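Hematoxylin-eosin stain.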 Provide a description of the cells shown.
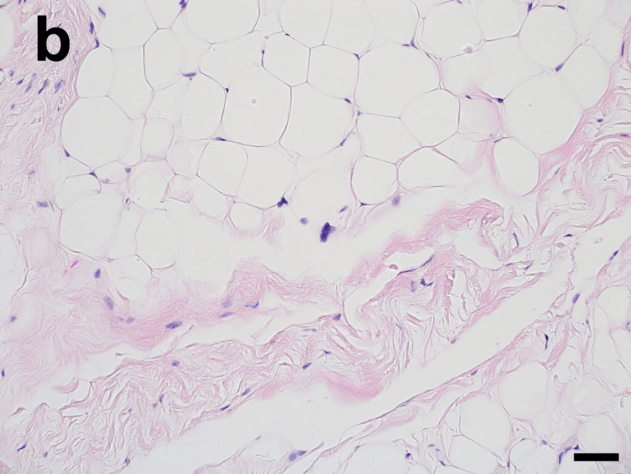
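Mature fat cells with large clear single vacuoles, thin membranes and flattened peripheral nuclei lie beside wavy pink collagen bands. The bands hold only sparse slender nuclei, and an occasional enlarged dark nucleus sits at the edge of the fat.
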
